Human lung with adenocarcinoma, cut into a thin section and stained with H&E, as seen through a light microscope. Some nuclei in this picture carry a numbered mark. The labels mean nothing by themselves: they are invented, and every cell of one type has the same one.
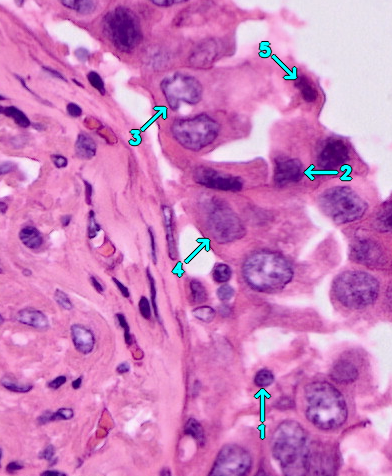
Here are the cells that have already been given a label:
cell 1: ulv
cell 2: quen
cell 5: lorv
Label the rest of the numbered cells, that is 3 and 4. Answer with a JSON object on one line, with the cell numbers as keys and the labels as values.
{"3": "quen", "4": "quen"}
